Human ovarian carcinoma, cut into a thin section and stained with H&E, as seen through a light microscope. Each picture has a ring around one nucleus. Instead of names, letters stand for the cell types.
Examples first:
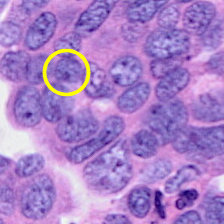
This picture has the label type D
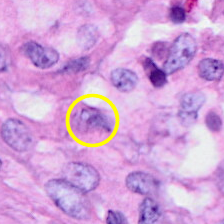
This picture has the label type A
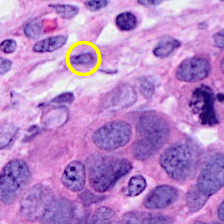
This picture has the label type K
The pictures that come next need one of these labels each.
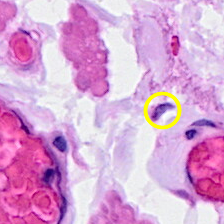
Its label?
type A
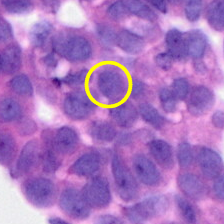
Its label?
type D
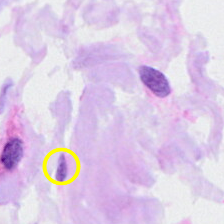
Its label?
type A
